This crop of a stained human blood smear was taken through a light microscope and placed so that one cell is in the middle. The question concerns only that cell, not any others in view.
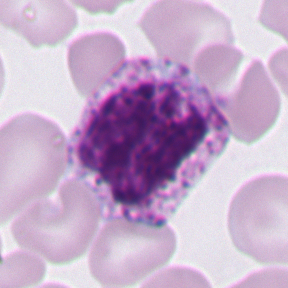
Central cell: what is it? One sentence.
Regarding the central cell, it is a basophil.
